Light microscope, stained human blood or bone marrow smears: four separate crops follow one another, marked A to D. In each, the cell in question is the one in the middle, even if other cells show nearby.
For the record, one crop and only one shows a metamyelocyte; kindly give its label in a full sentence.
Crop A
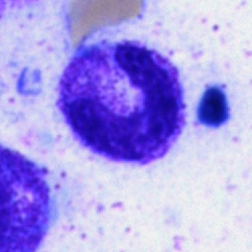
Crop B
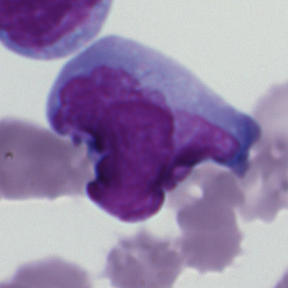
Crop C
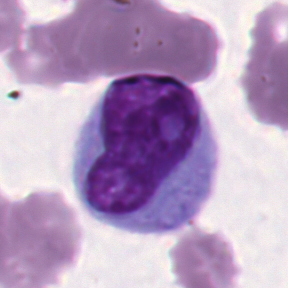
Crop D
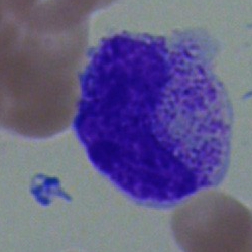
When the crops are compared, crop D is the one showing a metamyelocyte.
